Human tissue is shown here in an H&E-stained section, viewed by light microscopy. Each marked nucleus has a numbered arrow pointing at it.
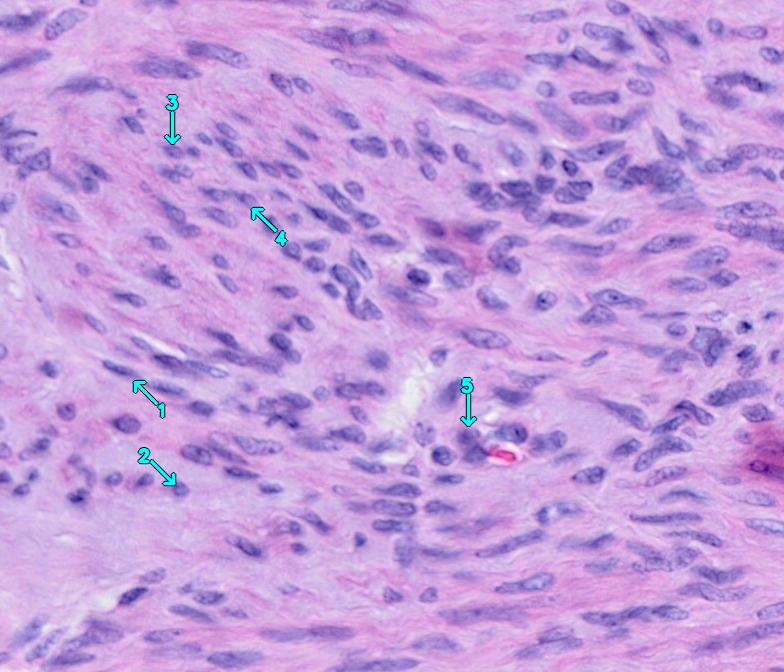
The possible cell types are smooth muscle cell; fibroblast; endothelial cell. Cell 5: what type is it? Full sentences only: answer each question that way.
The numeral 5 marks an endothelial cell in this section.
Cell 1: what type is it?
The cell tagged with 1 in this tissue section is a fibroblast.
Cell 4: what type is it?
Among the marked nuclei, number 4 belongs to a smooth muscle cell.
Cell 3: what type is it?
The cell that bears the number 3 is a smooth muscle cell.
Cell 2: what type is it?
Number 2 among the marked cells is a smooth muscle cell.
